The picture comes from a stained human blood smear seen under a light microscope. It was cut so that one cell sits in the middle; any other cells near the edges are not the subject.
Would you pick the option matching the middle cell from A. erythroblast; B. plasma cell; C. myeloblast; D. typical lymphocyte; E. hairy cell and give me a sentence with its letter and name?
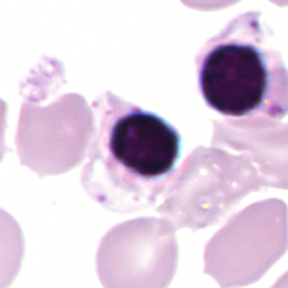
The cell centred in the crop is an erythroblast, and the correct option is thus A.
